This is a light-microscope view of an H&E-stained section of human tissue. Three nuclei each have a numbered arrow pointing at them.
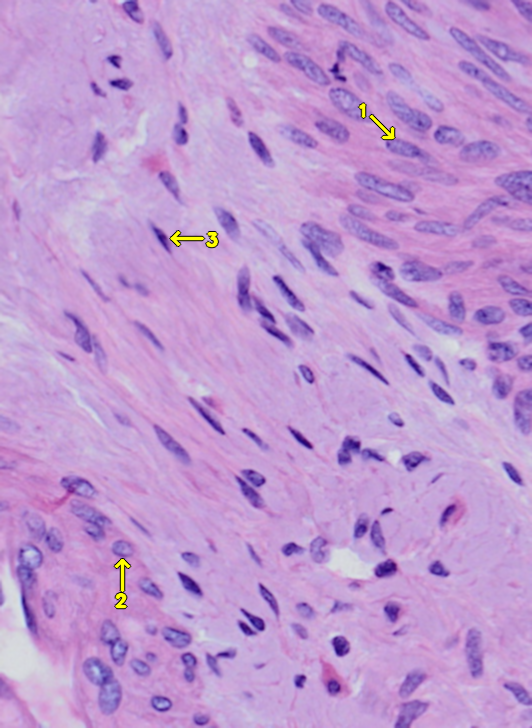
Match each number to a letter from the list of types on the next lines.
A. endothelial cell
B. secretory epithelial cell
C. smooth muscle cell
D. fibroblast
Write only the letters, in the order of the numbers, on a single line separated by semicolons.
C; C; D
